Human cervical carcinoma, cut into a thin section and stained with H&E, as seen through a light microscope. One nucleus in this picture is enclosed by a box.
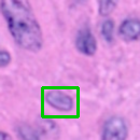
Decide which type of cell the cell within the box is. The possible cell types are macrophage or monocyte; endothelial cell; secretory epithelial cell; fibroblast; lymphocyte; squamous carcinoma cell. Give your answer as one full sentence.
Just put down that the cell within the box is a squamous carcinoma cell.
